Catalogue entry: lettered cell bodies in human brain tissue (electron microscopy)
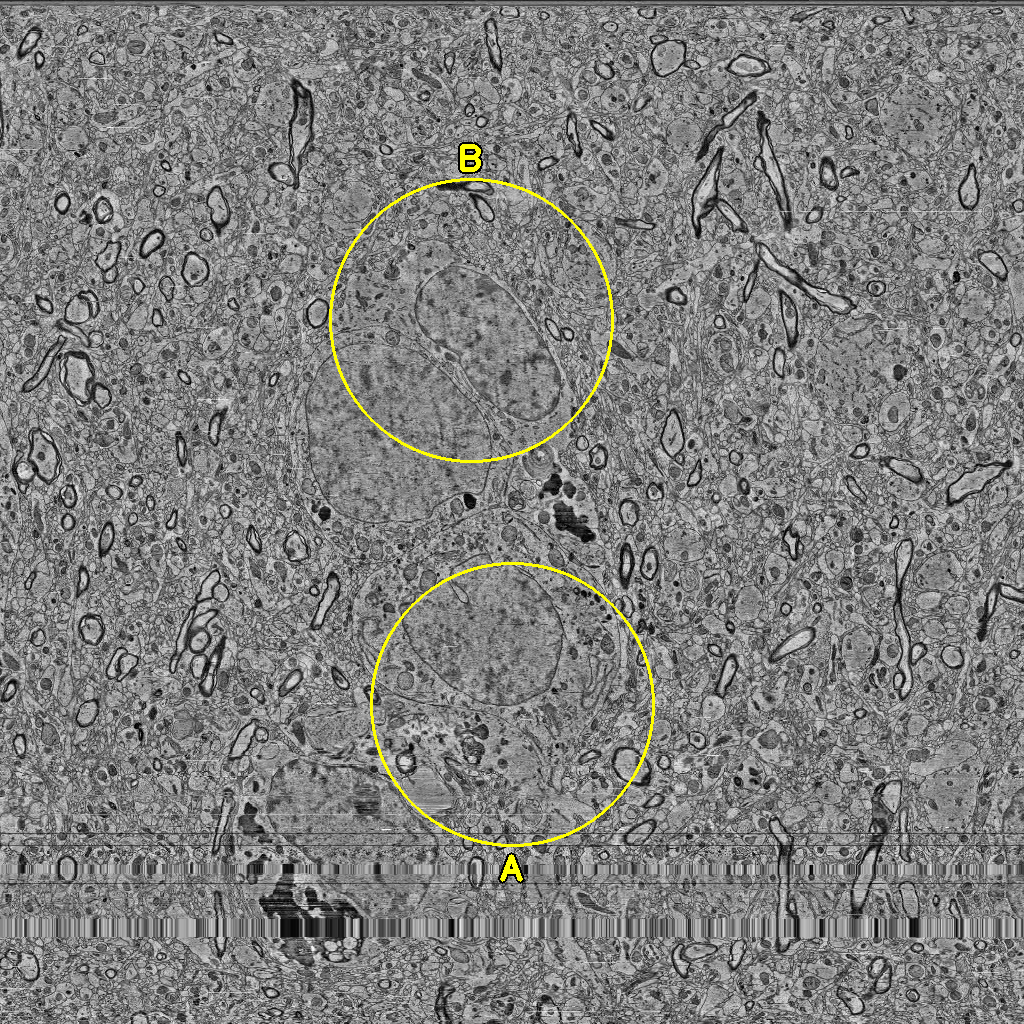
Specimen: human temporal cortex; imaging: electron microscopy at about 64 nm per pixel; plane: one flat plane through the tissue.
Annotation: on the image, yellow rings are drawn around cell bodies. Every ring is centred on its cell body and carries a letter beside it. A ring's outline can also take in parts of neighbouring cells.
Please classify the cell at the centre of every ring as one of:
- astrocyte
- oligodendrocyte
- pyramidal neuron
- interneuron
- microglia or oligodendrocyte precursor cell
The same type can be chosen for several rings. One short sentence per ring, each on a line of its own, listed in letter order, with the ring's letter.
Ring A is classified as a pyramidal neuron.
Ring B is classified as a microglial cell or oligodendrocyte precursor cell.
